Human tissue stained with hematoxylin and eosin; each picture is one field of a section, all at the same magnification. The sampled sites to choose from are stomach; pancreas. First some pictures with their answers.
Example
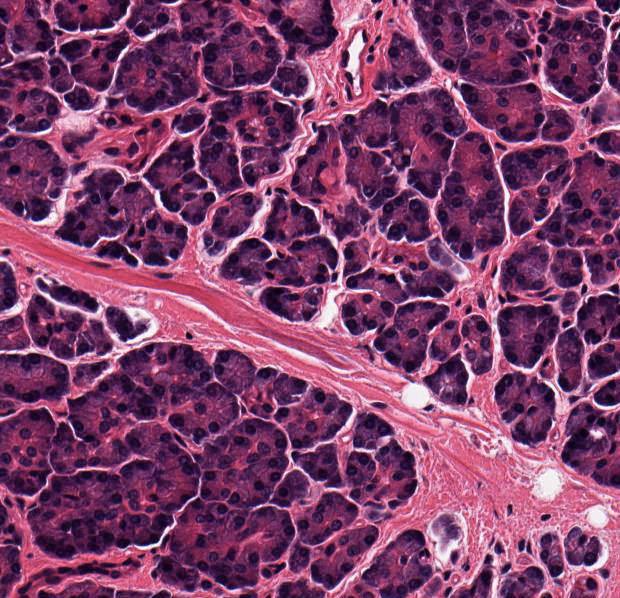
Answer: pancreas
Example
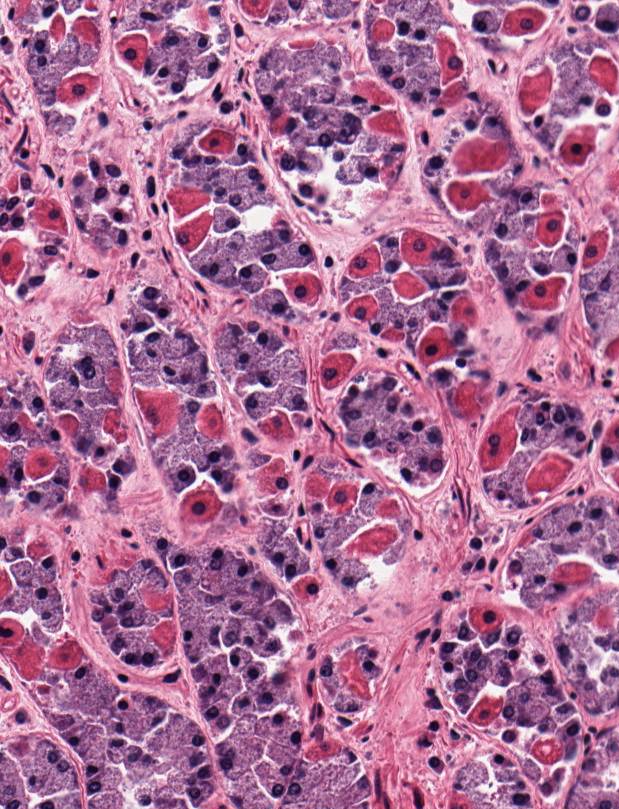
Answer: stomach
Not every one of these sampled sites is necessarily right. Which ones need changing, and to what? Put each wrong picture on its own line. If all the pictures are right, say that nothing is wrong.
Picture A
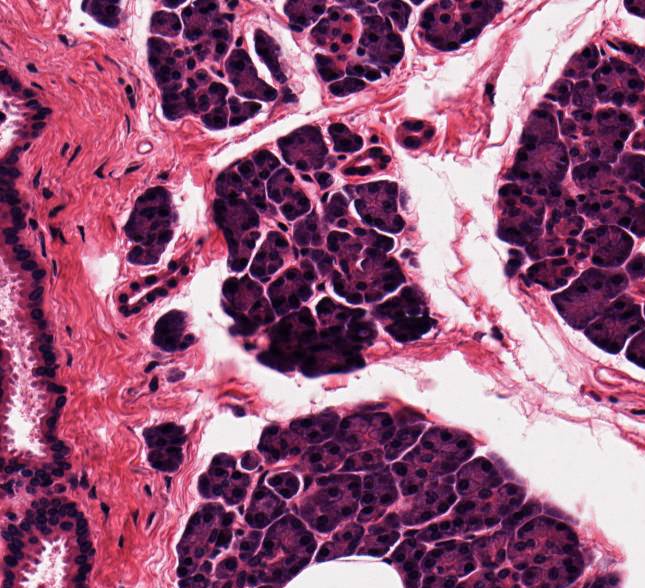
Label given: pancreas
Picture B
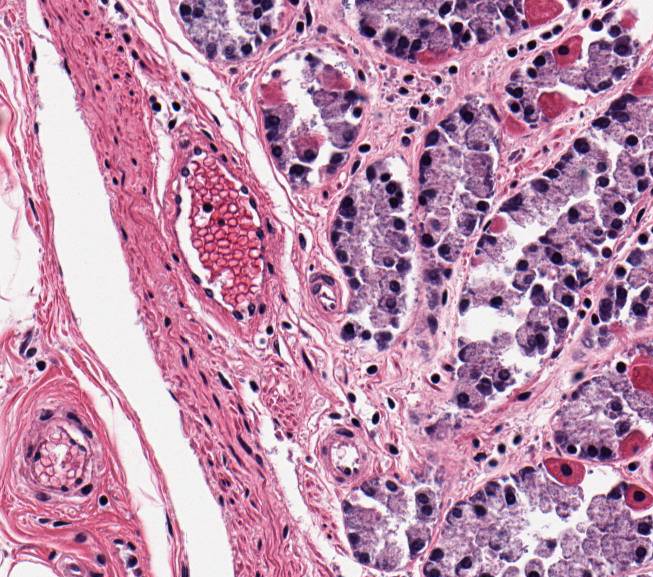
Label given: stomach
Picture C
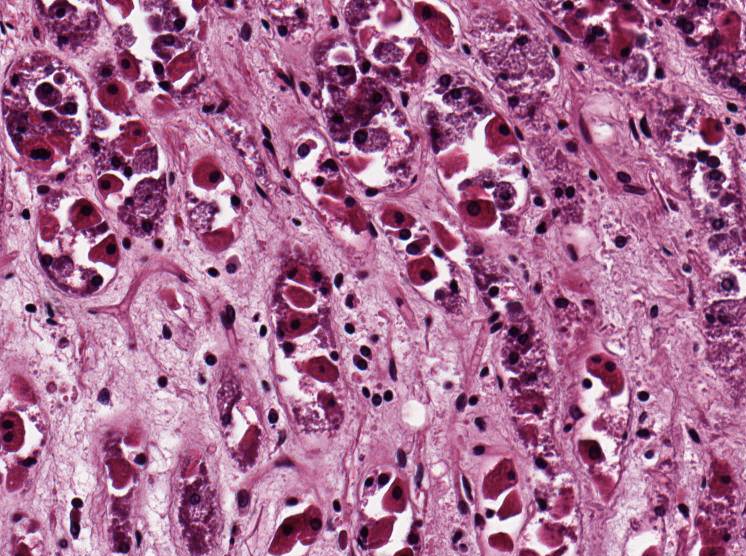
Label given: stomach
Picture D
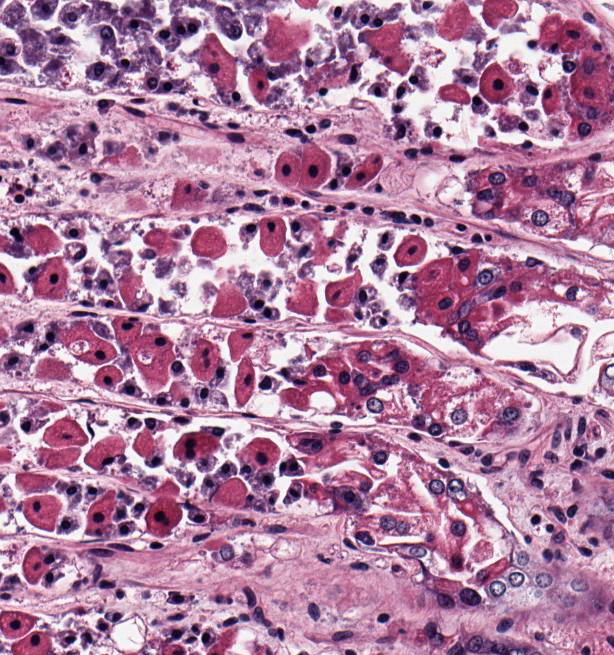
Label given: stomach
Nothing to fix; every label fits.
